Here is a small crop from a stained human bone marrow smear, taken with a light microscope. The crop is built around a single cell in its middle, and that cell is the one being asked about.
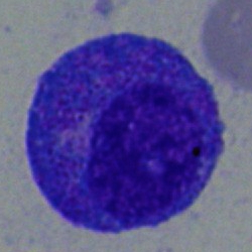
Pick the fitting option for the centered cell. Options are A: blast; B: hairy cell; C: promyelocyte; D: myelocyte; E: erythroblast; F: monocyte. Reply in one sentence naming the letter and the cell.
Given that the cell in the middle is a promyelocyte, option C is correct.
